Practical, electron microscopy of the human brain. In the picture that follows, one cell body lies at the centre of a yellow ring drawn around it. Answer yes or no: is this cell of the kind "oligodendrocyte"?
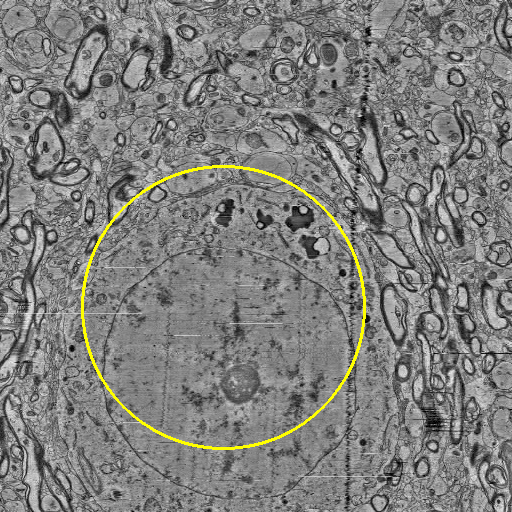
no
